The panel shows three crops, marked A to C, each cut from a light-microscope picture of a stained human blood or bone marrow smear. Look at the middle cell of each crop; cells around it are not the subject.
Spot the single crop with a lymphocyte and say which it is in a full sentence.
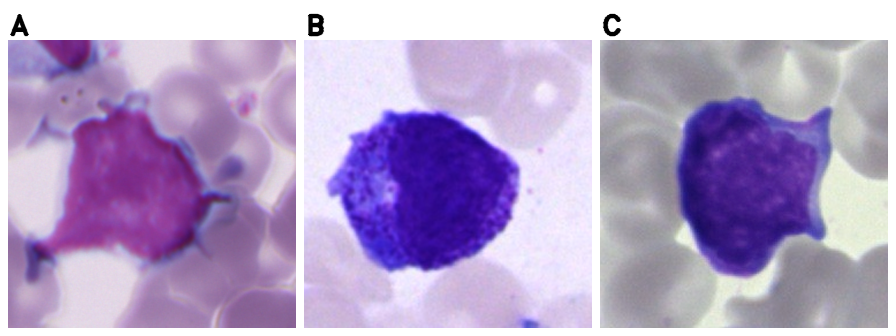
Within this set, crop A is the one with a lymphocyte at its center.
